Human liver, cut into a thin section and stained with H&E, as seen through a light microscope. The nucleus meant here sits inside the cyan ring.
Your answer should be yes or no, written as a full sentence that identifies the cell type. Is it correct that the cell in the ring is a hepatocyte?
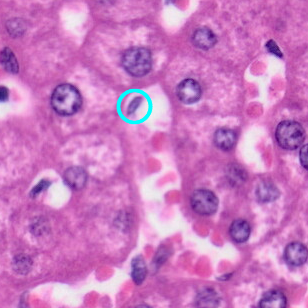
No, what the cell in the ring represents is an endothelial cell rather than a hepatocyte.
